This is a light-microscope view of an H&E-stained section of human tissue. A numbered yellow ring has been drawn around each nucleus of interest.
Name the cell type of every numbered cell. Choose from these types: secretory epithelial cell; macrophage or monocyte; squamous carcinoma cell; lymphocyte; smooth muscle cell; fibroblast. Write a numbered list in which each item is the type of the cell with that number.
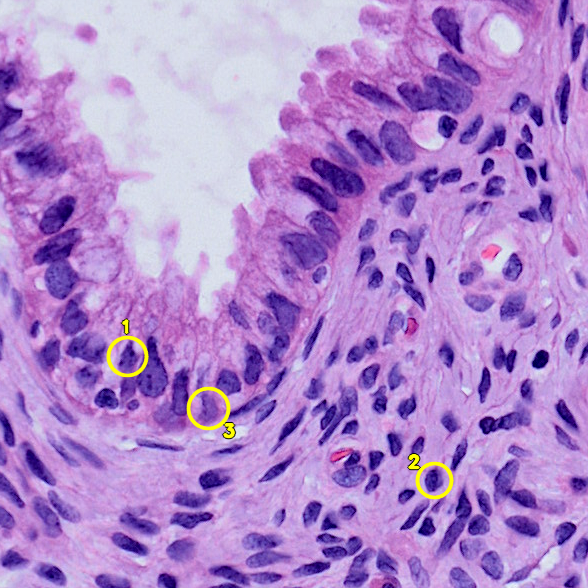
1. secretory epithelial cell
2. fibroblast
3. secretory epithelial cell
